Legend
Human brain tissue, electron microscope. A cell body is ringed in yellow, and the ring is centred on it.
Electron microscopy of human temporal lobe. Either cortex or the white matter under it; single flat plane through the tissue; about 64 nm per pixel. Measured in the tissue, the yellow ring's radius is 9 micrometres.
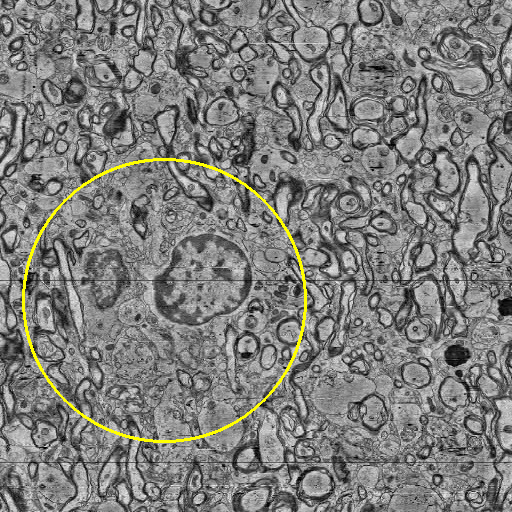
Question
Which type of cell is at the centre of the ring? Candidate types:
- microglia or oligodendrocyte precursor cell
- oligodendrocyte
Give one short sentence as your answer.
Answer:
The yellow ring is centred here on a microglial cell or oligodendrocyte precursor cell.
